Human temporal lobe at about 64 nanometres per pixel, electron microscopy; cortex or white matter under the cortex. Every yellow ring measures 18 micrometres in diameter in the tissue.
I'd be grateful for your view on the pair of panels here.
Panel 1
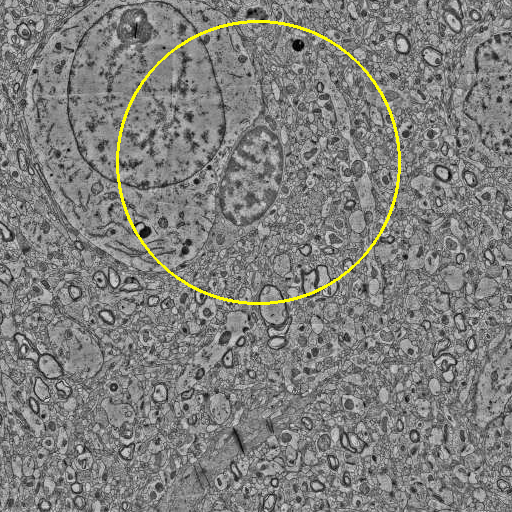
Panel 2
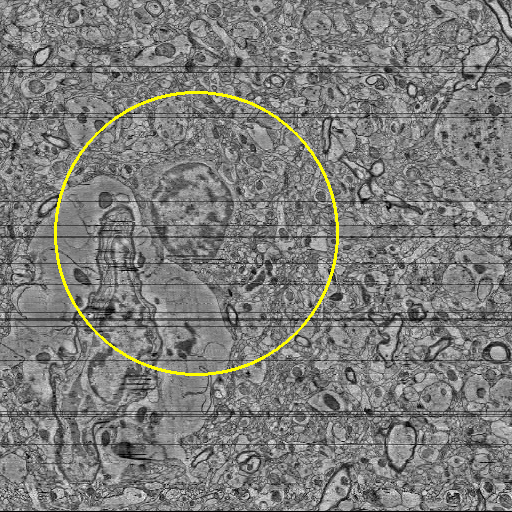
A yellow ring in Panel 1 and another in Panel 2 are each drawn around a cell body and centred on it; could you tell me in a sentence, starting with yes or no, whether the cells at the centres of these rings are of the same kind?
Yes, they are the same kind of cell.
